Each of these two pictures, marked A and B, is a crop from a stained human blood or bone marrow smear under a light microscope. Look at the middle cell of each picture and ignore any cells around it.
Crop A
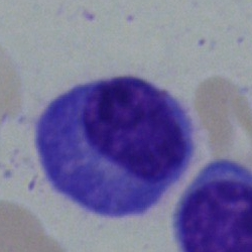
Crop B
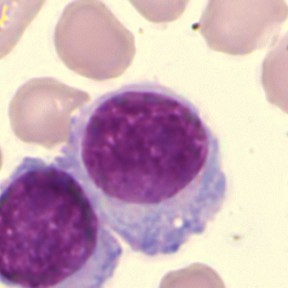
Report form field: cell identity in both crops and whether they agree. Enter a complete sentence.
Yes, both crops show plasma cells, one in each.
